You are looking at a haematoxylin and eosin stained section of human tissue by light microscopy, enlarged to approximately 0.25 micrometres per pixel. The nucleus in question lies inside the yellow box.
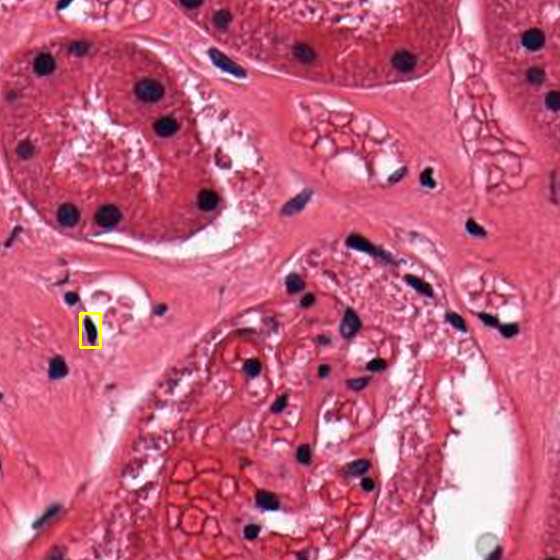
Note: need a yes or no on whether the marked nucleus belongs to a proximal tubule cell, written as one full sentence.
No, the marked nucleus is not housed in a proximal tubule cell but in a supporting cell.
